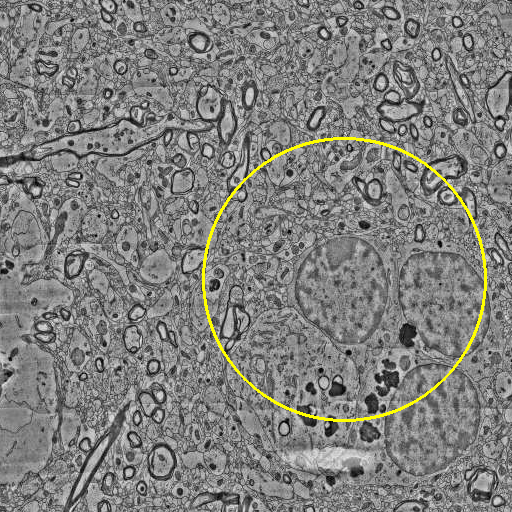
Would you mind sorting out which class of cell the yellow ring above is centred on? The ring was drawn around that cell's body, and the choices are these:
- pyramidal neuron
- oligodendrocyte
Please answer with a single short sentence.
This is the cell body of an oligodendrocyte.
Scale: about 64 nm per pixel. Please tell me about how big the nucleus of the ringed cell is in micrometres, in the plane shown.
Roughly 7 by 6 micrometres is the size of the nucleus in this plane.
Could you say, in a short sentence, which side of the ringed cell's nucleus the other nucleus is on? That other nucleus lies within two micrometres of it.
The other nucleus lies to the right of it.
